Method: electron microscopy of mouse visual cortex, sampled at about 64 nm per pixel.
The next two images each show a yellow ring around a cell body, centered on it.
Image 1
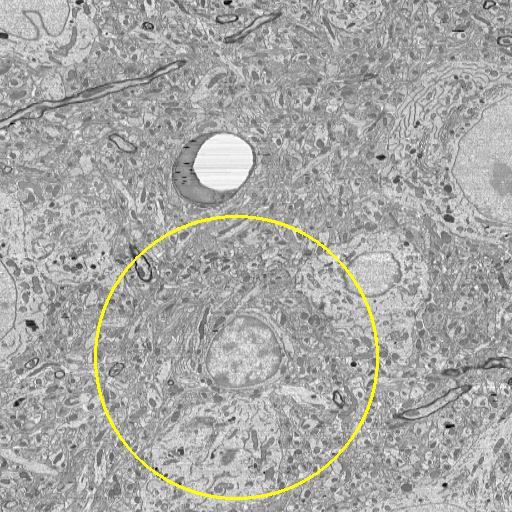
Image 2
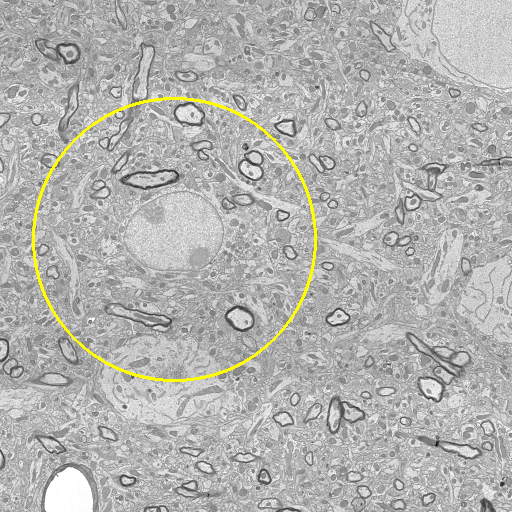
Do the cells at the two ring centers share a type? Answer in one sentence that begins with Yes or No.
No, across the two images the cells at the ring centers are of two types.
